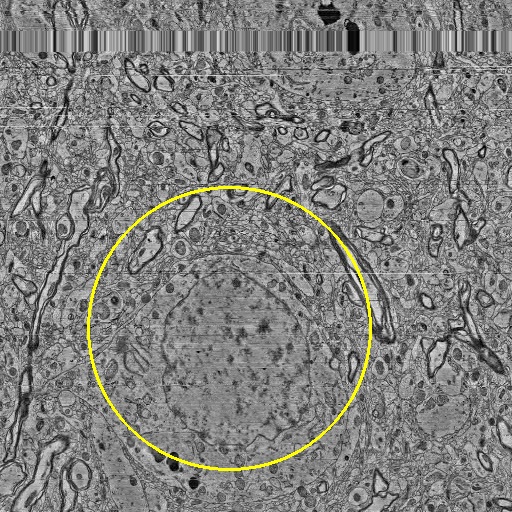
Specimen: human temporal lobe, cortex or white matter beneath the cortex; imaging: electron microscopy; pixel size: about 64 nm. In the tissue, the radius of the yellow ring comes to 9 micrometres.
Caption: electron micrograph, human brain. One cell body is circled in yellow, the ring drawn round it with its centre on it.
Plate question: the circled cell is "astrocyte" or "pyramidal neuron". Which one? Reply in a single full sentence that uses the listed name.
The yellow ring on the plate is centred on a pyramidal neuron, going by the listed names.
